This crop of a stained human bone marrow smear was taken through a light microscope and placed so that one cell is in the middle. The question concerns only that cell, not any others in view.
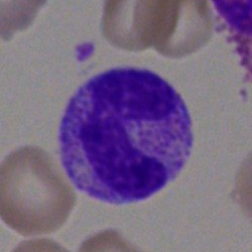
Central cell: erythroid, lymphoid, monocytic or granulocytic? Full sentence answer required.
The cell that sits at the center is attributed to the granulocytic lineage.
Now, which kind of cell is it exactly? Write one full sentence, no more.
Positioned in the middle of the crop is a band neutrophil.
